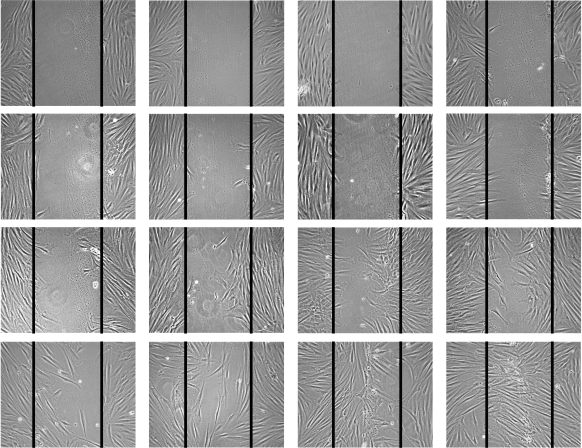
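This is a grid of phase-contrast images of a fibroblast monolayer that has a scratch wound across it. The cells are elongated and spindle-shaped and lie side by side in parallel streams. In every image a pair of black vertical lines marks the edges of the wound. In the top row the strip between the lines is almost free of cells and is bordered by dense cell sheets. In some images the strip is densely filled.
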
